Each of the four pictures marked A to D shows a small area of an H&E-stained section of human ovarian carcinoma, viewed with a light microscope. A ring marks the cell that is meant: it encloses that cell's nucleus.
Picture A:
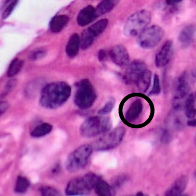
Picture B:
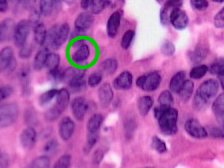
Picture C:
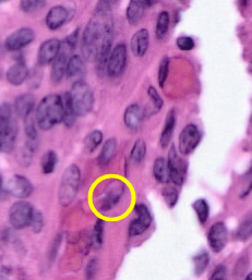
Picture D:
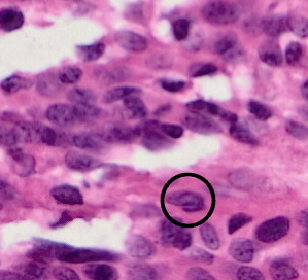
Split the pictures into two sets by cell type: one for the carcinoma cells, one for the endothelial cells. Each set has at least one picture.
A: carcinoma cell
B: carcinoma cell
C: endothelial cell
D: endothelial cell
